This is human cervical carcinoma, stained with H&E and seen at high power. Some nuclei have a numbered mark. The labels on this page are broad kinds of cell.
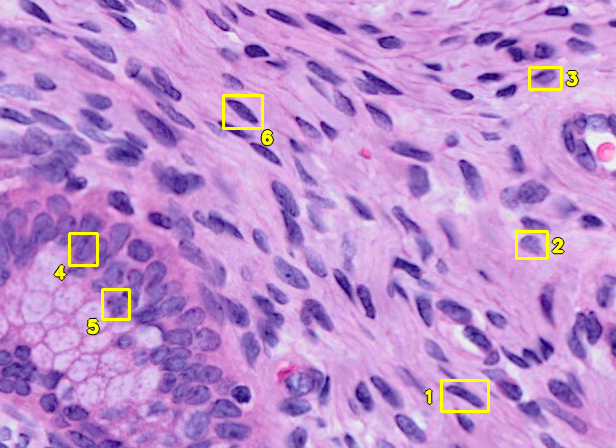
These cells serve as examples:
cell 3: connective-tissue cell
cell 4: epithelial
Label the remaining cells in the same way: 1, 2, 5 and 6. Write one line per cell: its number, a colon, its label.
1: connective-tissue cell
2: connective-tissue cell
5: epithelial
6: connective-tissue cell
